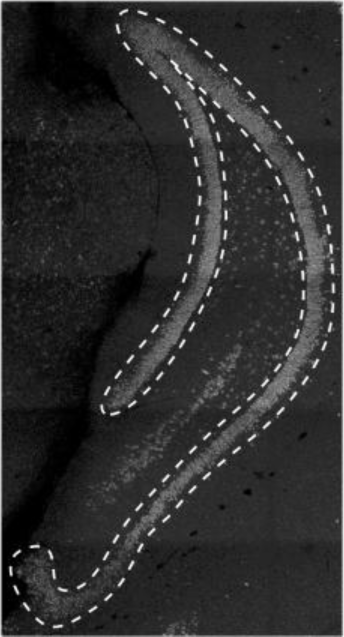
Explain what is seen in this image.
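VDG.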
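A low-magnification fluorescence view of the ventral dentate gyrus, with neurons showing as small white dots on a dark grey background. The granule cell layer stands out as a dense, bright, curved band of tightly packed cells, formed of two limbs that meet at one end, and the dashed line follows it. Between and beside the limbs, far fewer cells lie scattered, with a looser cluster of bright cells in the space enclosed by the band.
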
